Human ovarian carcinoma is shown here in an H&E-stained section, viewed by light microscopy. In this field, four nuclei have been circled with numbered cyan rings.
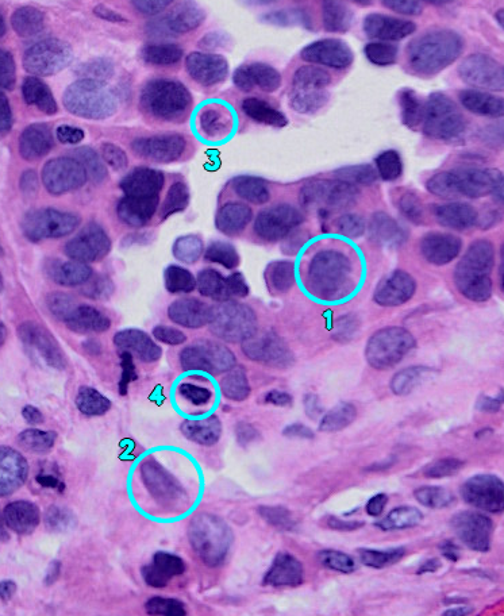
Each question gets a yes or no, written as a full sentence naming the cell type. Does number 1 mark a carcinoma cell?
Yes, cell number 1 is classified as a carcinoma cell.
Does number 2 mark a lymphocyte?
No, number 2 corresponds to a fibroblast, not a lymphocyte.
